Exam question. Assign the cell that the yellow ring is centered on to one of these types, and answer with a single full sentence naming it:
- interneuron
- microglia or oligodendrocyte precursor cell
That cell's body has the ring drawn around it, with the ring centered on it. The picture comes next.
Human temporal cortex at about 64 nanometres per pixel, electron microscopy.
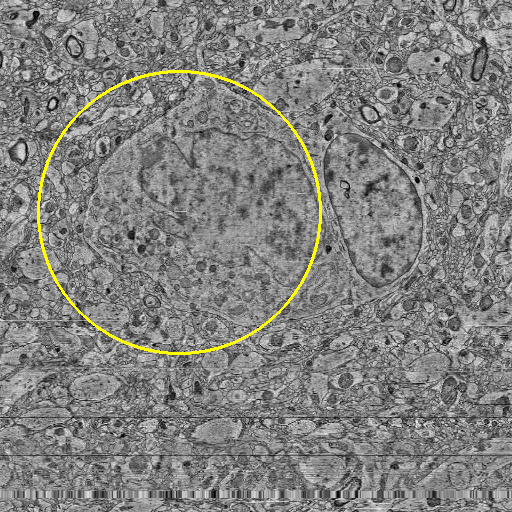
In the micrograph, the cell the yellow ring is centered on is an interneuron.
